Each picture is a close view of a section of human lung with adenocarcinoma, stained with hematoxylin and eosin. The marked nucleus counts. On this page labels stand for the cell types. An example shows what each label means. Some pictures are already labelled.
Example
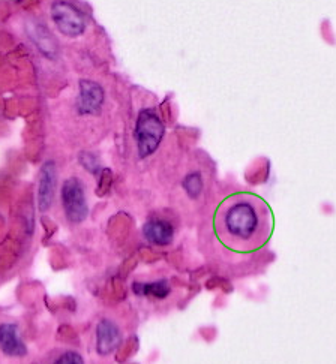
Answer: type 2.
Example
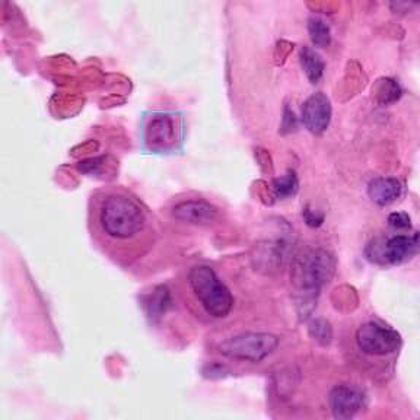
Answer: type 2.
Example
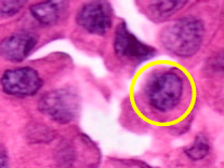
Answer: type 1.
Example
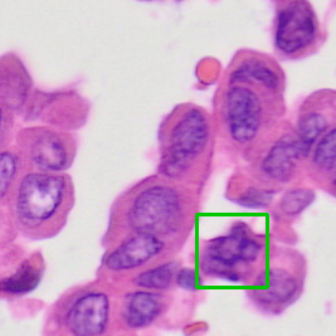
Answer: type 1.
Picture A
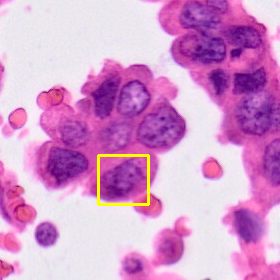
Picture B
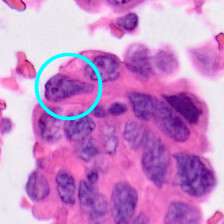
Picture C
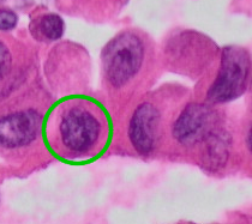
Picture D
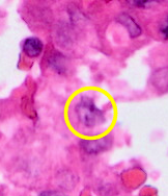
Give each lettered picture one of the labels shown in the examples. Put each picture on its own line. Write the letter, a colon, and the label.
A: type 1.
B: type 1.
C: type 1.
D: type 2.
